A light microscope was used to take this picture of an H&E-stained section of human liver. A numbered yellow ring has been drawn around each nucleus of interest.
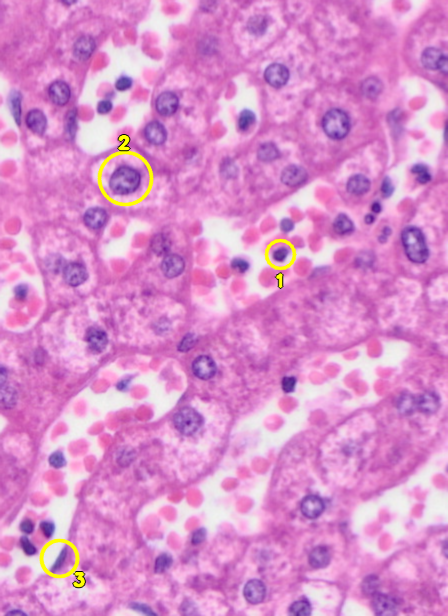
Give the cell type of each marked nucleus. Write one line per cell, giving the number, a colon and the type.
1: lymphocyte
2: hepatocyte
3: endothelial cell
